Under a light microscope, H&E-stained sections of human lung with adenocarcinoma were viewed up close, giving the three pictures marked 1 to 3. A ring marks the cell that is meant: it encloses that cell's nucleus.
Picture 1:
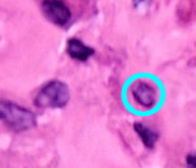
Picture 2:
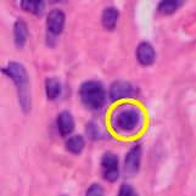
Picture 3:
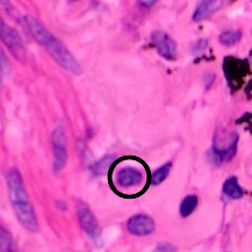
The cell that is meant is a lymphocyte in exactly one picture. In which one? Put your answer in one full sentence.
Picture 2 is the one that shows the lymphocyte.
